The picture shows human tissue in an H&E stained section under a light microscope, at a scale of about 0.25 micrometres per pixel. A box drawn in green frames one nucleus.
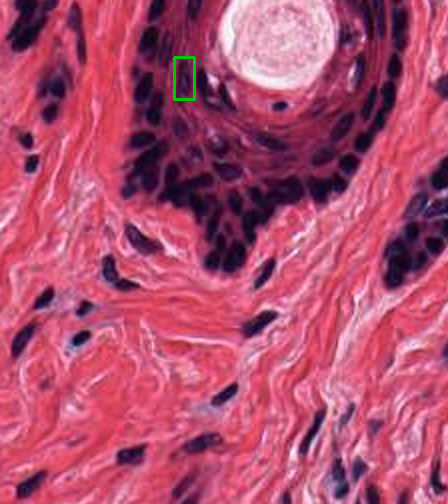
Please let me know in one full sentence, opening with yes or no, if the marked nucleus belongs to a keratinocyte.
Yes, the nucleus bearing the mark is that of a keratinocyte.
